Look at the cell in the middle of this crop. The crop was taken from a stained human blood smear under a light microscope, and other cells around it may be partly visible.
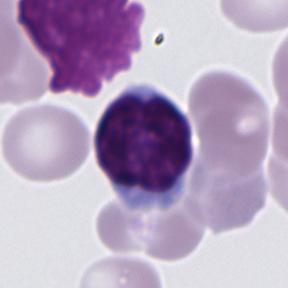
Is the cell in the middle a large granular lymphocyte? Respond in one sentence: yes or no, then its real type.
No, that guess of a large granular lymphocyte misses; the central cell is a typical lymphocyte.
